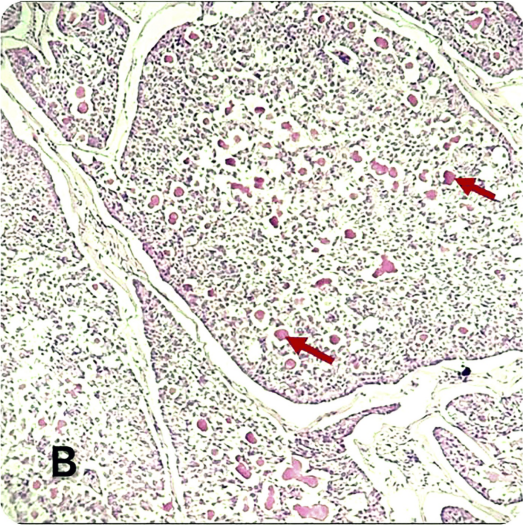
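A large rounded nest of tumor cells is bounded by thin pale fibrous septa, with neighbouring nests at the edges. Within the nest, many small round spaces filled with deep pink material are scattered among crowded cells with dark nuclei. The cells surround these pink globules, some of which merge into larger irregular pools.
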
